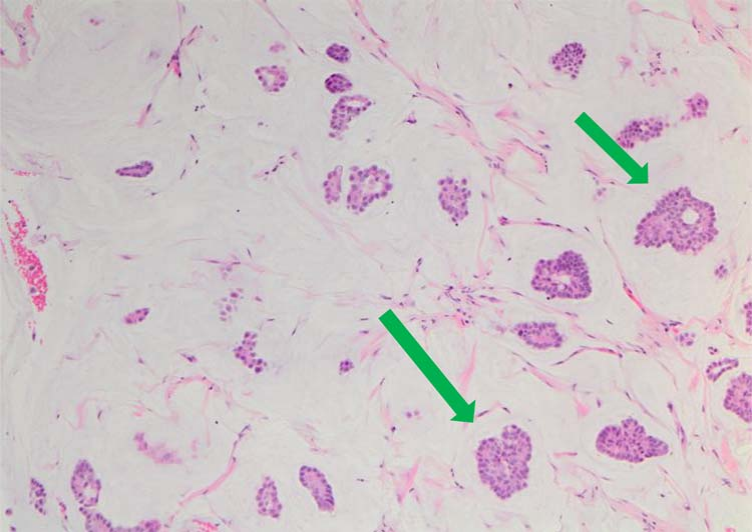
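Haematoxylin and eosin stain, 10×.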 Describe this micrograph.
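This field shows nests of tumour cells suspended within pools of extra-cellular mucin. Most of the area is taken up by pale, faintly grey-blue, nearly acellular material, partitioned by thin pink fibrous septa that carry a few spindle-shaped nuclei. Scattered through it lie many small, separate clusters of epithelial cells, some solid, some forming tiny glandular rings around a small central space. The cells within the clusters are crowded, with round to oval purple nuclei and scant cytoplasm, and the nuclei vary modestly in size.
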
